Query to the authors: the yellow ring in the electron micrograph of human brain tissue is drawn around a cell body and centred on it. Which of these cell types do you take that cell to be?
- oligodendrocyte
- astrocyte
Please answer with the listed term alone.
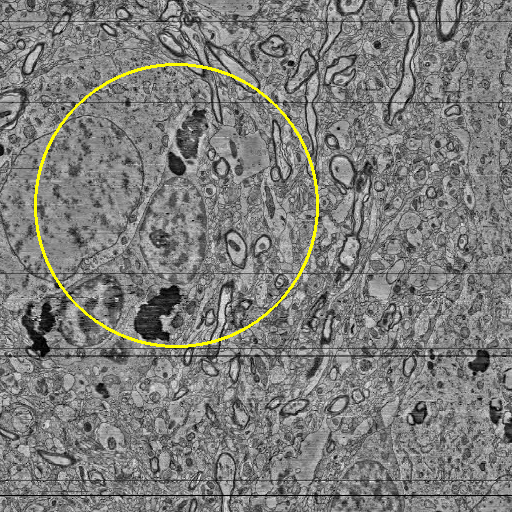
oligodendrocyte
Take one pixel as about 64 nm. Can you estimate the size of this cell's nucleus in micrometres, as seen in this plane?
About 7 by 4 micrometres in this plane; clearly longer than it is wide.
